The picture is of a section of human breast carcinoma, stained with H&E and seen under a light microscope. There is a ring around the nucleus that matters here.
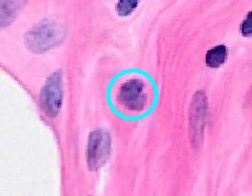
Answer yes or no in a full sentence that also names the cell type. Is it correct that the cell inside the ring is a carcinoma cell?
No, the cell inside the ring is a lymphocyte instead of a carcinoma cell.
